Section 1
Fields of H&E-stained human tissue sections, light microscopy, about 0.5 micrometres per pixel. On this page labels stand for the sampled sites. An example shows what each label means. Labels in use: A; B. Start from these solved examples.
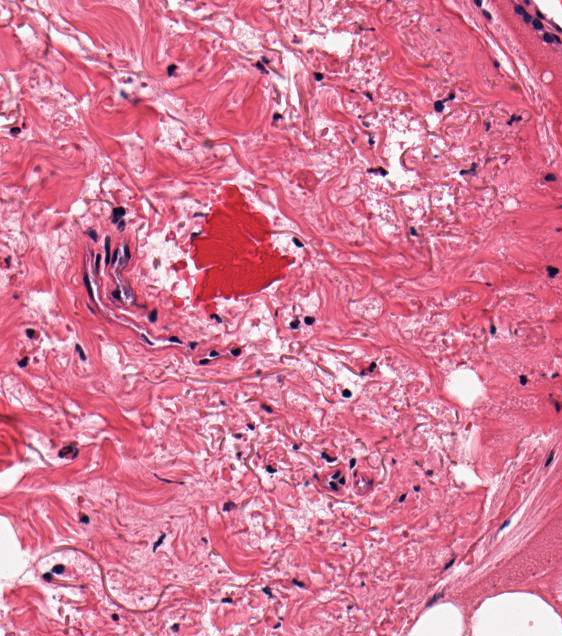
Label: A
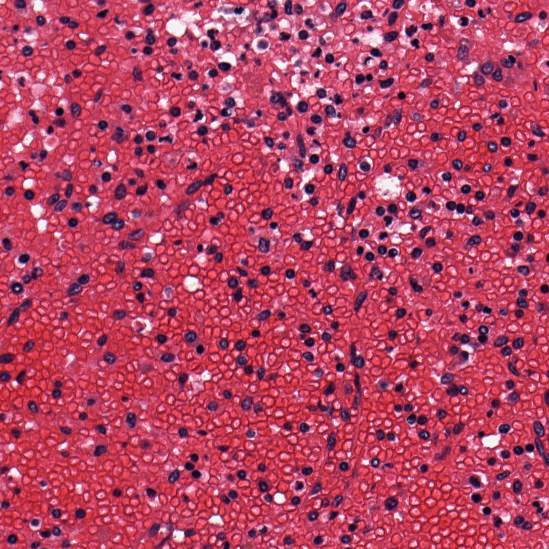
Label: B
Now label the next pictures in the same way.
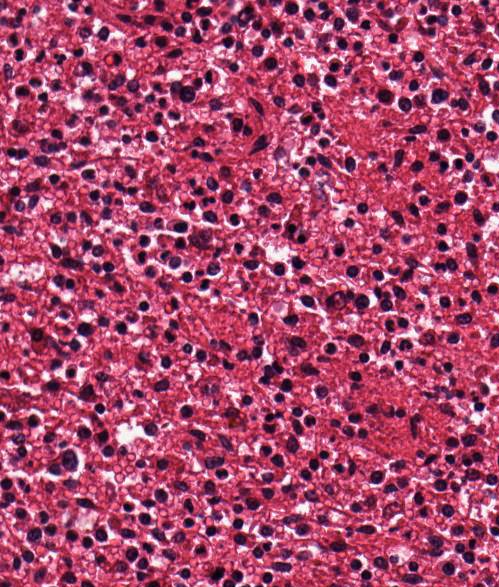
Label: B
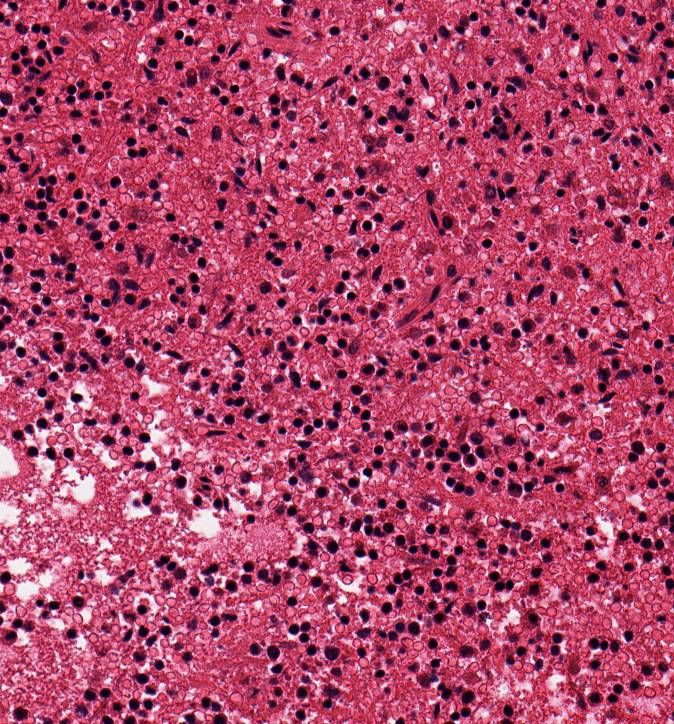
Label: B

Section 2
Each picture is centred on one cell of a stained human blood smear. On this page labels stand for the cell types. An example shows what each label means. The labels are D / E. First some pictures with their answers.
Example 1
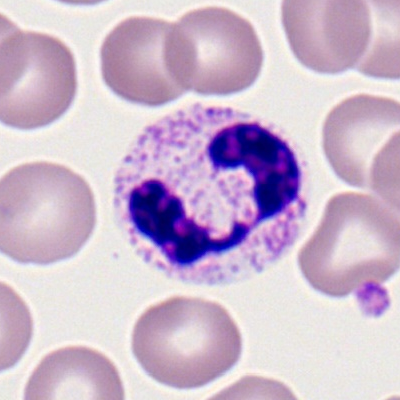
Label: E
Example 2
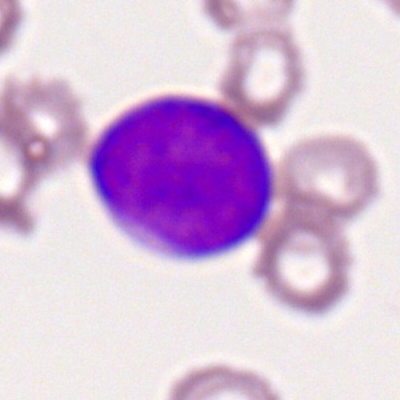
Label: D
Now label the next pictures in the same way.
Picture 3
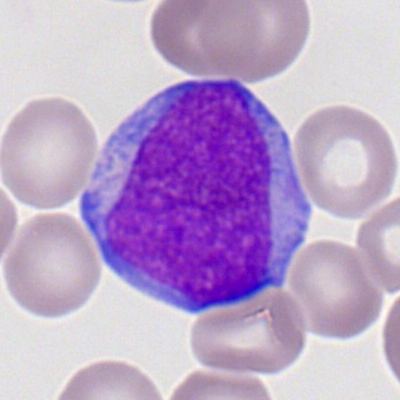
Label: D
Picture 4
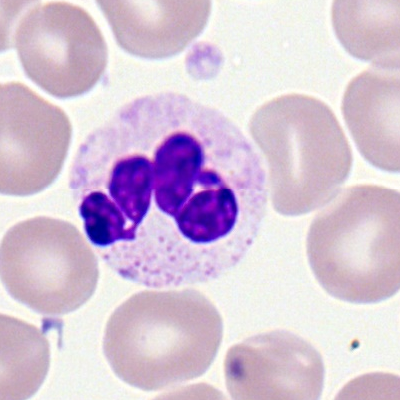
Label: E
